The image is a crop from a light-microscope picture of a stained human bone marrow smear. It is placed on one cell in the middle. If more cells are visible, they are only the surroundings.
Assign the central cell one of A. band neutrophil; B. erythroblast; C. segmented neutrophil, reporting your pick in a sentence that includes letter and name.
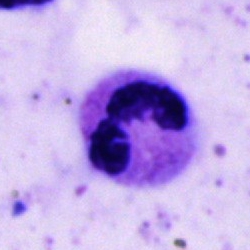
The correct option is C, as the central cell is a segmented neutrophil.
